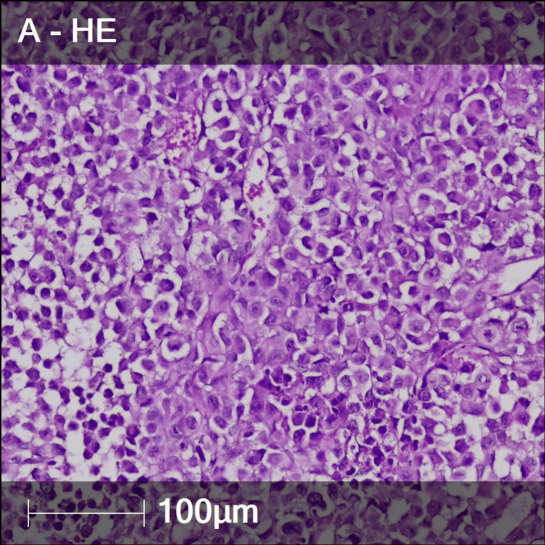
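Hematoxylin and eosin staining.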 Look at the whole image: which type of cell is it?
Large atypical cells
